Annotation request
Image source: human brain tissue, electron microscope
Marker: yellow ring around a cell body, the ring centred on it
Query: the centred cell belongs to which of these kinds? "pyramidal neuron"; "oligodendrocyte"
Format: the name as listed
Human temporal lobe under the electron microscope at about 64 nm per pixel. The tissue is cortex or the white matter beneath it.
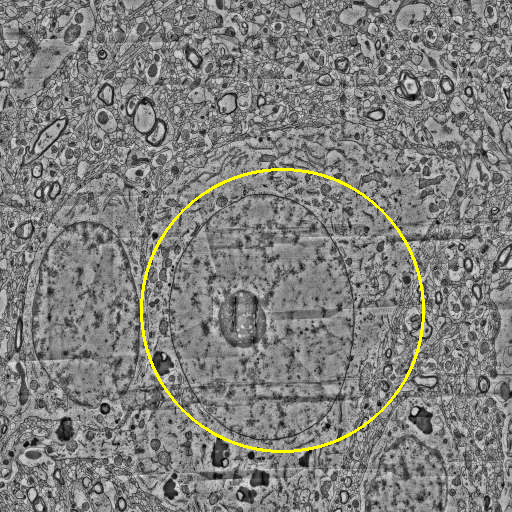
pyramidal neuron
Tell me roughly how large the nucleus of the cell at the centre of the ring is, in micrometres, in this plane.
Approximately 16 x 12 micrometres in this plane.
